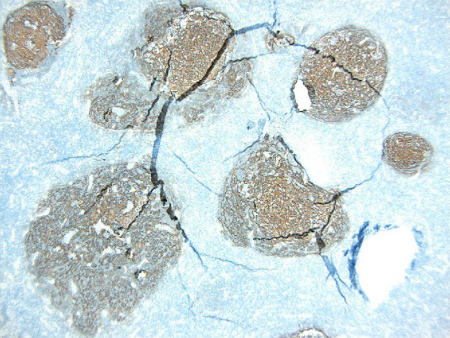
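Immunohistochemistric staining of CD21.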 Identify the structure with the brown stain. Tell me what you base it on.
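Brown staining is confined to discrete round nodules. The surrounding tissue is unstained blue. The answer: lymphoid follicular.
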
